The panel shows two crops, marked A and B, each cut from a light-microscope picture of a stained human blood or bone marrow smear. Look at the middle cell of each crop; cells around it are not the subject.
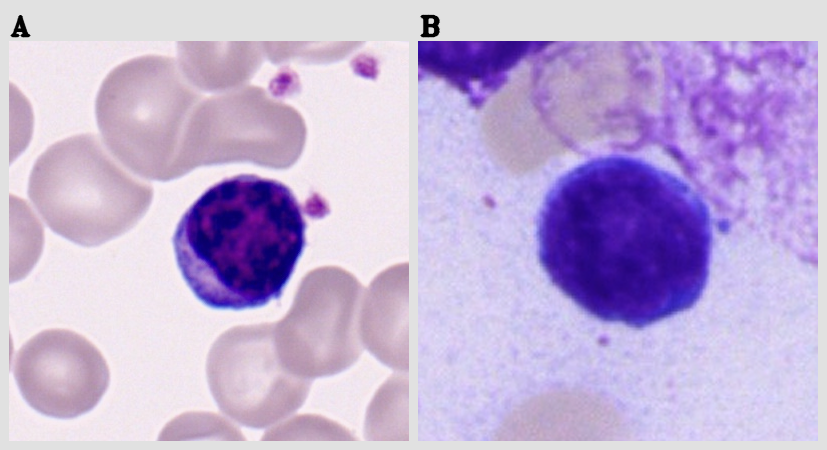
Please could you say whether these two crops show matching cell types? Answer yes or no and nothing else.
yes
